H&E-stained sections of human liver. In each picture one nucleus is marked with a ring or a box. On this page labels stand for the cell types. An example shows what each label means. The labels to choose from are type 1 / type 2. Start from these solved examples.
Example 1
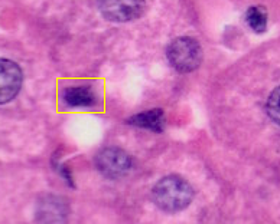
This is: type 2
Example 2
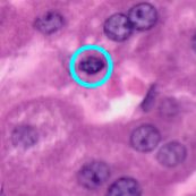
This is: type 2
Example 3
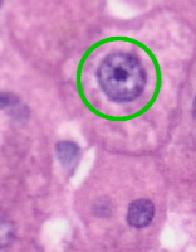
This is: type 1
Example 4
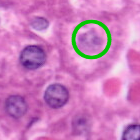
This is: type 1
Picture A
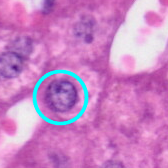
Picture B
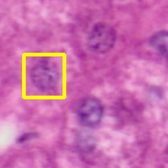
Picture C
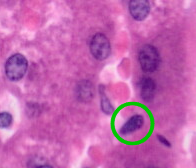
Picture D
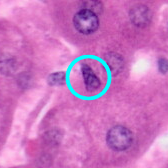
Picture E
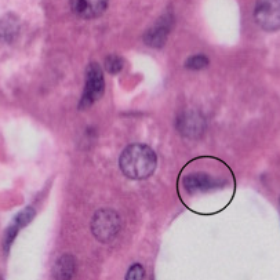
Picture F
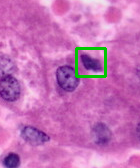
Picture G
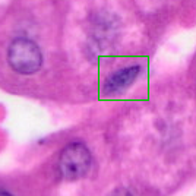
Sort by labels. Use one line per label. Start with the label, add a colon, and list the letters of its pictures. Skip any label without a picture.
type 1: A, B
type 2: C, D, E, F, G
